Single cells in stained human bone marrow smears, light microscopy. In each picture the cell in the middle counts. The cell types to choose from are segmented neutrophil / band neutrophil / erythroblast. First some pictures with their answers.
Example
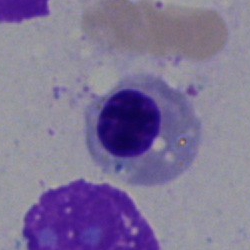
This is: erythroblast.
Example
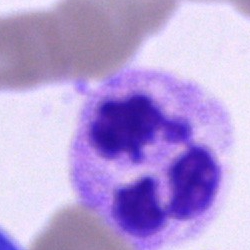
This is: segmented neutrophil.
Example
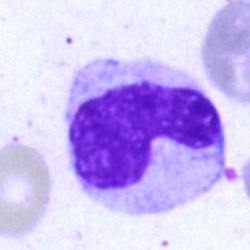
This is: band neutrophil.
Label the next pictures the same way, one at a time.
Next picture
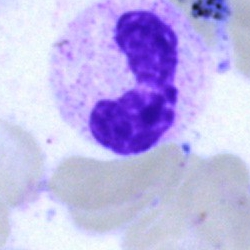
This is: segmented neutrophil.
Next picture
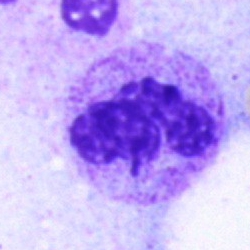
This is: segmented neutrophil.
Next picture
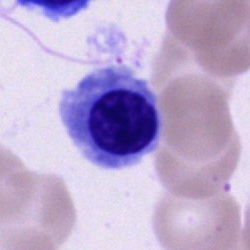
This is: erythroblast.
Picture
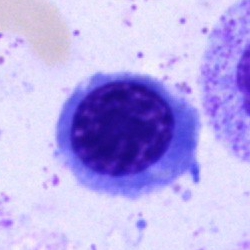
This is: erythroblast.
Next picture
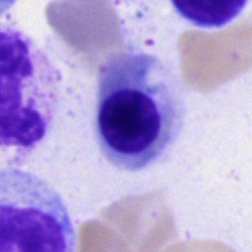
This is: erythroblast.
